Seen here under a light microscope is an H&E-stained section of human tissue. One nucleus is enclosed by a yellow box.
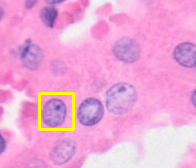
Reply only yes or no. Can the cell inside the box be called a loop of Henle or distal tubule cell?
no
